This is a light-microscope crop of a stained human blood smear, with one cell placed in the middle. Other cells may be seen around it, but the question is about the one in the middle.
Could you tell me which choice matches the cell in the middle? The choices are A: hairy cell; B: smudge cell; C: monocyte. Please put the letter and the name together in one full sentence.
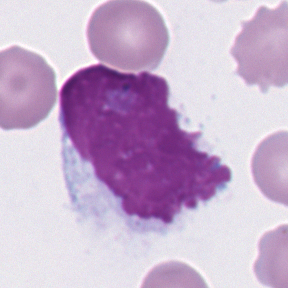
As the central cell is a smudge cell, option B is correct.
